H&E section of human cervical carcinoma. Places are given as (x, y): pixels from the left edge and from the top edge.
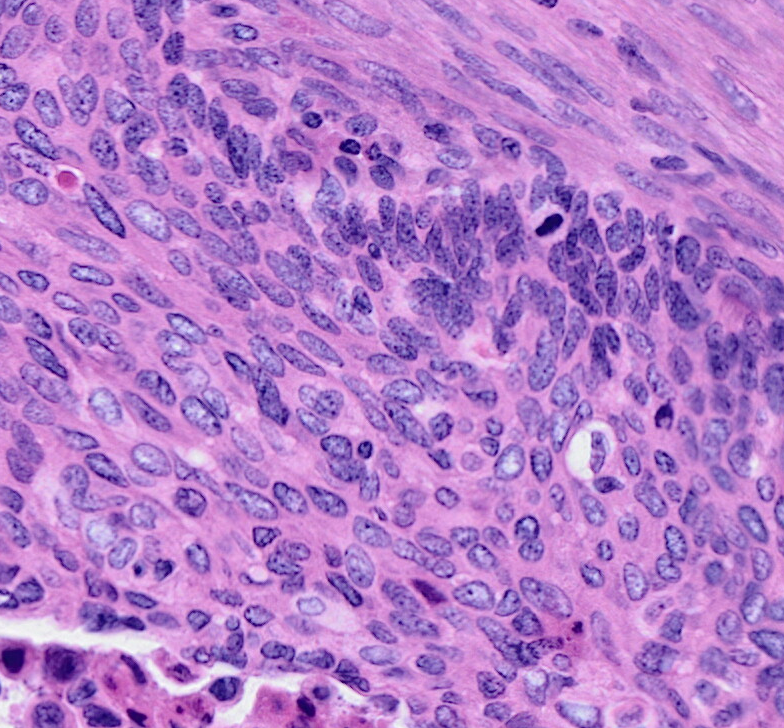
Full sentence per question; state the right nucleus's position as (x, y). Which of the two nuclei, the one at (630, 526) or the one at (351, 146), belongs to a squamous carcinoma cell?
Between the pair, the nucleus at (630, 526) belongs to a squamous carcinoma cell.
